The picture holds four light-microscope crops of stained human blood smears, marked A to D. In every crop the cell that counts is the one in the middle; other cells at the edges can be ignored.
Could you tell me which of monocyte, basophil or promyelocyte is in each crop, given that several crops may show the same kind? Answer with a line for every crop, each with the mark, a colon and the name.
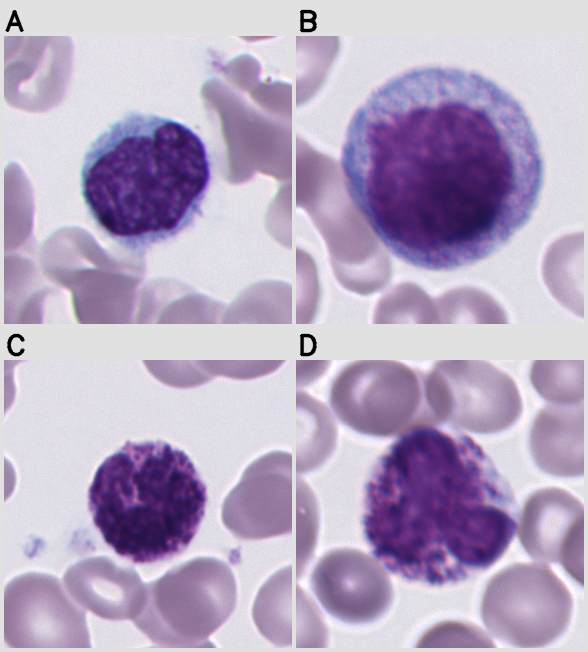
A: monocyte
B: promyelocyte
C: basophil
D: basophil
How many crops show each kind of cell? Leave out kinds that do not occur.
basophil: 2
monocyte: 1
promyelocyte: 1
